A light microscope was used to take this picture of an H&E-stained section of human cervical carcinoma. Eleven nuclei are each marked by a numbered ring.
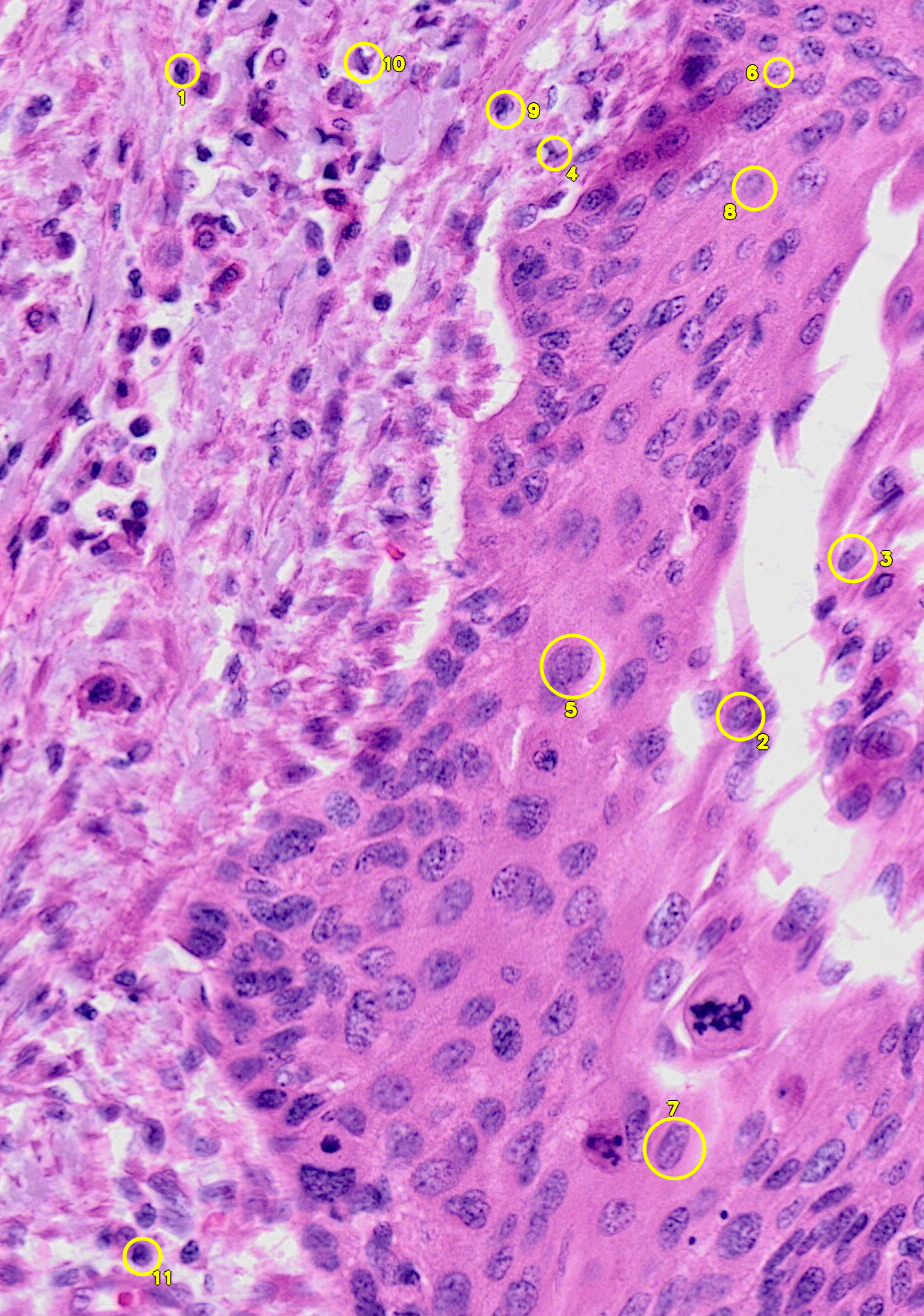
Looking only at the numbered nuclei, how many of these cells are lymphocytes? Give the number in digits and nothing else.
3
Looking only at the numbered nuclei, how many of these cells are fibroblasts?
1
